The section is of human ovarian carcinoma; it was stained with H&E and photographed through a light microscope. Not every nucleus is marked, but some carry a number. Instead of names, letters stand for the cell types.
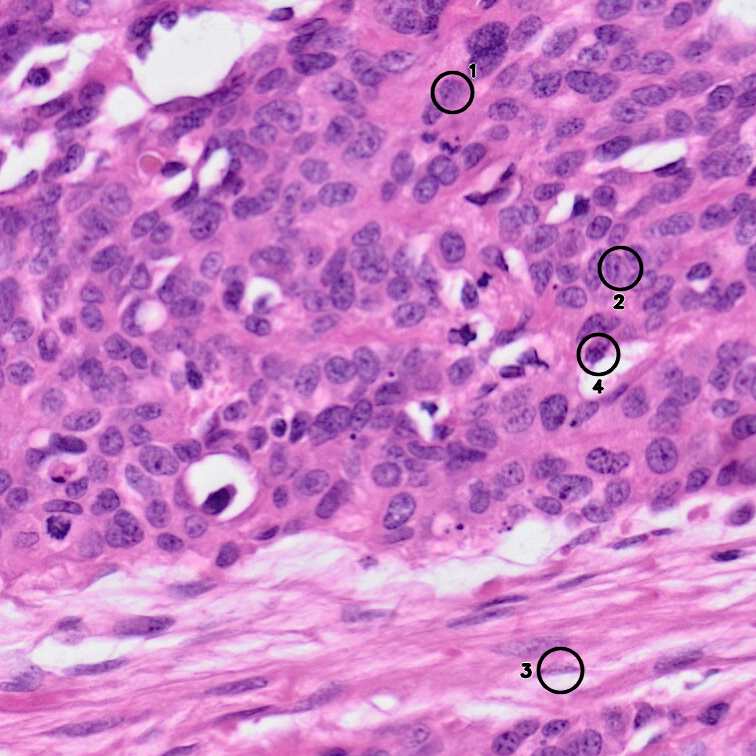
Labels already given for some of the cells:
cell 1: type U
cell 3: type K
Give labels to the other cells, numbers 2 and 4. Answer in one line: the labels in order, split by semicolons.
type U; type U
